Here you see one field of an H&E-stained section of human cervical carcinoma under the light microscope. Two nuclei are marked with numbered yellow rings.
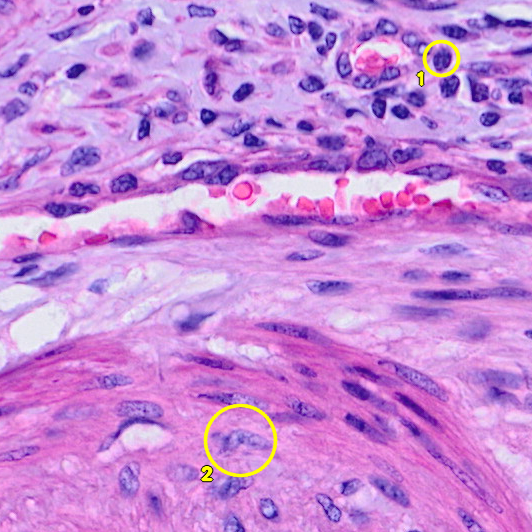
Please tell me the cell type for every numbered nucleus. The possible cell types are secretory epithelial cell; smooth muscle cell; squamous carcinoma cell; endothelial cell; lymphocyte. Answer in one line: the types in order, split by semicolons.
lymphocyte; smooth muscle cell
